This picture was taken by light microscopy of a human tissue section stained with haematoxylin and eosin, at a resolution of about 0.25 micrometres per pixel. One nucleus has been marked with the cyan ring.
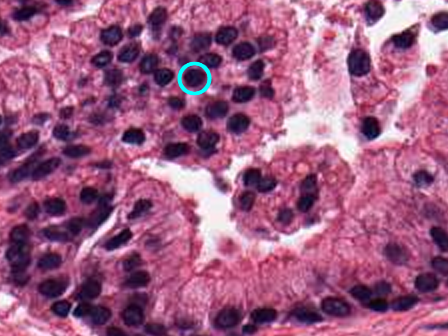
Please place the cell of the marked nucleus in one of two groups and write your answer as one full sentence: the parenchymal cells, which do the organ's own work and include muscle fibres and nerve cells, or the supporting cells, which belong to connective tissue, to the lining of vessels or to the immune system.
The marked nucleus is the nucleus of a parenchymal cell, that is, a prostate gland luminal cell.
